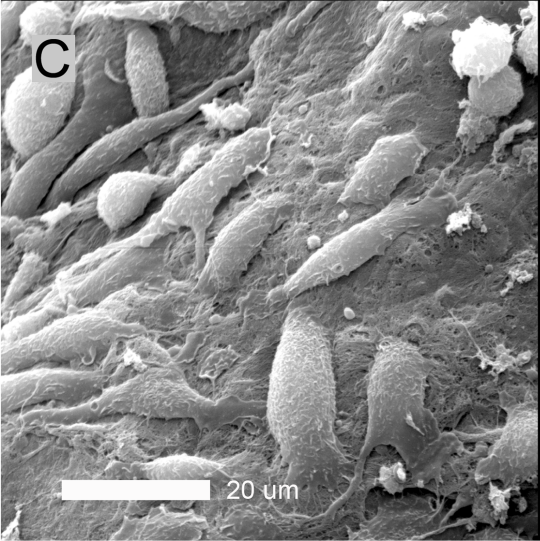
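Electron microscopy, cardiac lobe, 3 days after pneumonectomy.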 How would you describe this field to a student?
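This region of the pleural surface holds spindle-shaped, fusiform cells lying on an exposed, fibrous underlying layer. The cells are long and slender with tapering ends, some drawn out into thin processes, and they lie roughly parallel, running diagonally across the field. Their surfaces carry fine ridges and small projections. Between and beneath them the substrate looks matted and fibrillar rather than covered by a continuous cell sheet. A few rounded cells with rough surfaces sit at the upper left and upper right, and small debris-like particles are scattered over the surface.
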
